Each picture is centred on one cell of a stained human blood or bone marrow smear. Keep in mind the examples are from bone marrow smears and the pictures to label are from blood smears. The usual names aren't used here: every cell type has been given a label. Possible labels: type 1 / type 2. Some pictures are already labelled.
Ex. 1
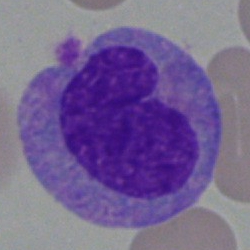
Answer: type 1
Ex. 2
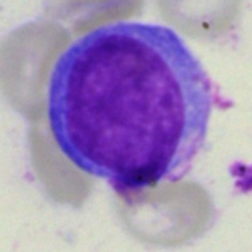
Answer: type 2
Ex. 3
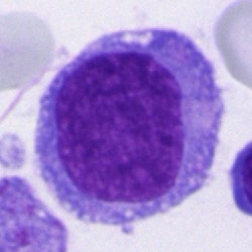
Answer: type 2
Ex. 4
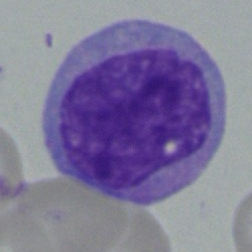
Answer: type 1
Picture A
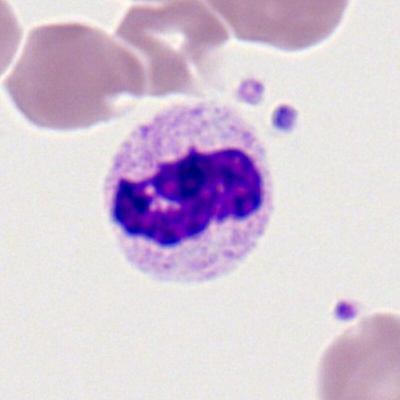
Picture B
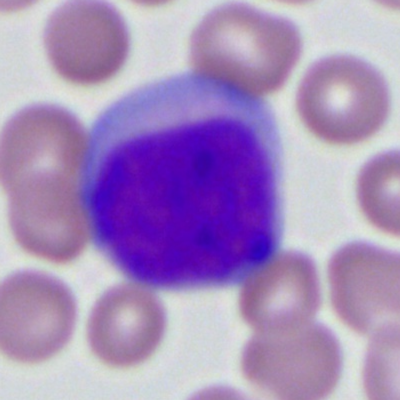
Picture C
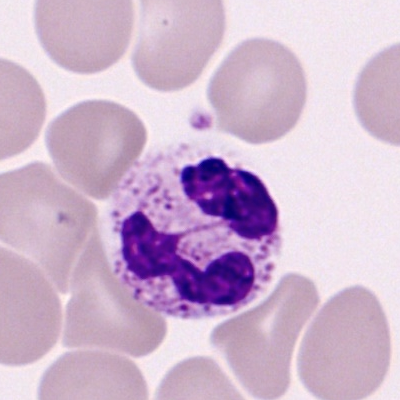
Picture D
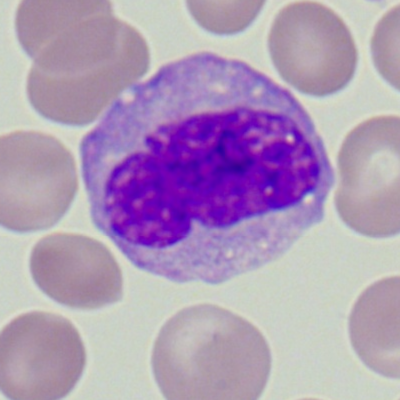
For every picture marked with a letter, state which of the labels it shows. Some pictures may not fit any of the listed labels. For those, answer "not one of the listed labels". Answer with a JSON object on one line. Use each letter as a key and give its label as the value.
{"A": "not one of the listed labels", "B": "type 2", "C": "not one of the listed labels", "D": "type 1"}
